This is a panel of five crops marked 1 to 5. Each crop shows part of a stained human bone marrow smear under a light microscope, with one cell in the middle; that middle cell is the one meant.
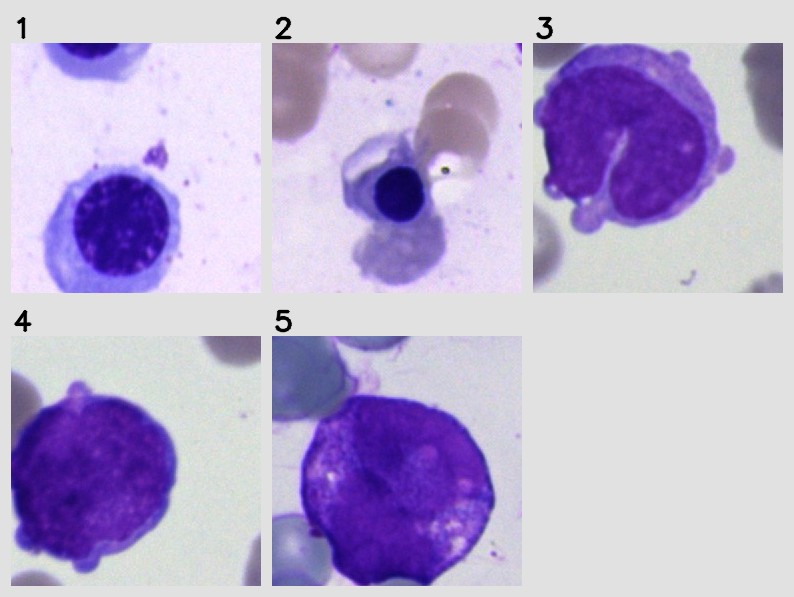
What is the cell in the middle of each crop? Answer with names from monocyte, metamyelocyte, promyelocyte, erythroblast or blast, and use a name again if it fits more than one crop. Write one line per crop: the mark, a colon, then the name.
1: erythroblast
2: erythroblast
3: monocyte
4: blast
5: blast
